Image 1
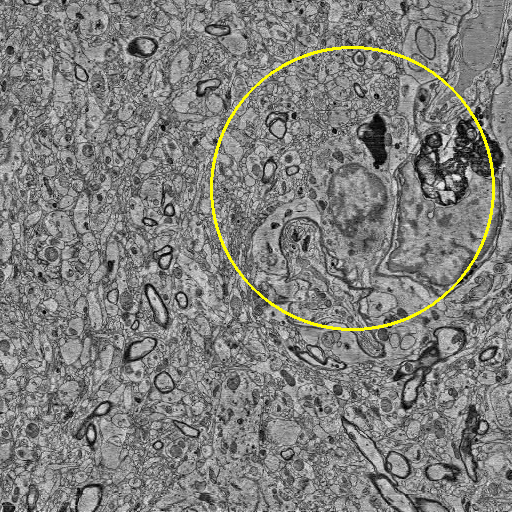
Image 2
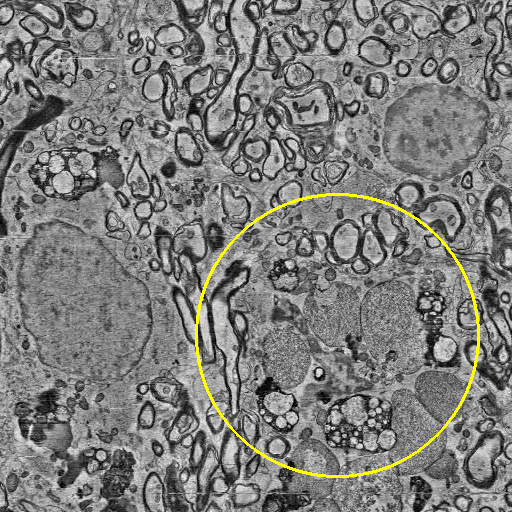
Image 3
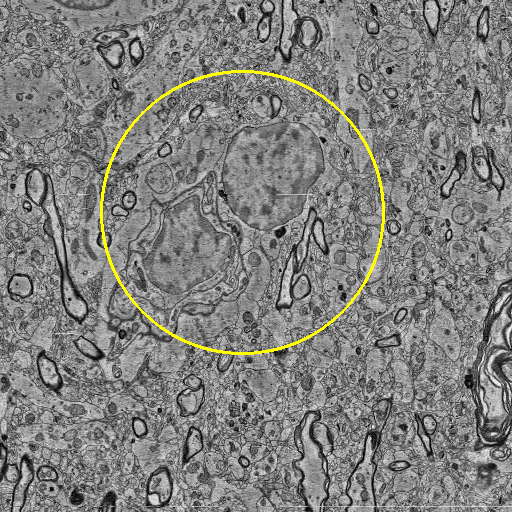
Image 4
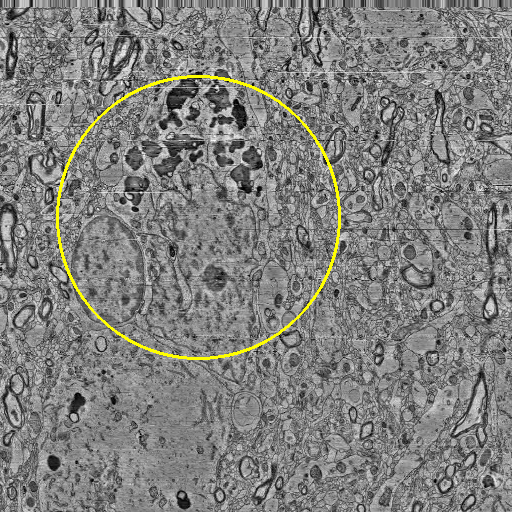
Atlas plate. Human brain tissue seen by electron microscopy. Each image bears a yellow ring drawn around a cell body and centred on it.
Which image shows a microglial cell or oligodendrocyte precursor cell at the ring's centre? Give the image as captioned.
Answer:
Image 3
